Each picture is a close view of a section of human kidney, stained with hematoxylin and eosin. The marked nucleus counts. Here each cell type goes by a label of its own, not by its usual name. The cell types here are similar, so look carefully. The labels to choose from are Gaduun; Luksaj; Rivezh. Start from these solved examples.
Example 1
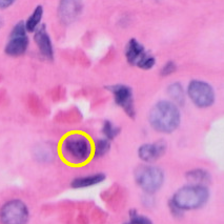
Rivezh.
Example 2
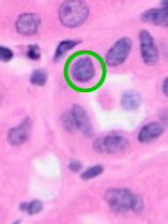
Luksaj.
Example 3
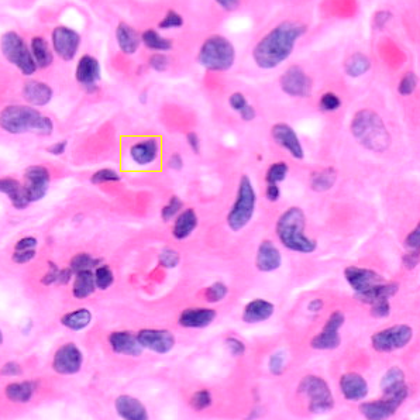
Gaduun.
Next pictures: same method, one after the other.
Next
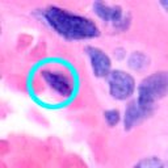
Gaduun.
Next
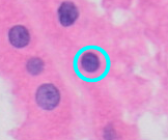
Rivezh.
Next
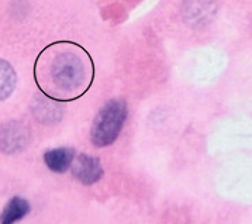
Rivezh.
